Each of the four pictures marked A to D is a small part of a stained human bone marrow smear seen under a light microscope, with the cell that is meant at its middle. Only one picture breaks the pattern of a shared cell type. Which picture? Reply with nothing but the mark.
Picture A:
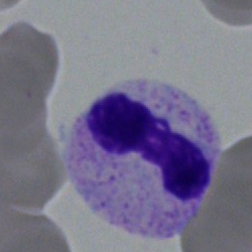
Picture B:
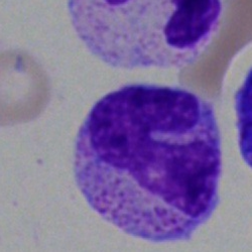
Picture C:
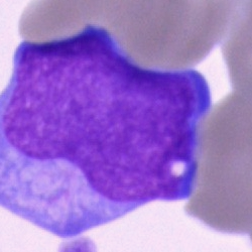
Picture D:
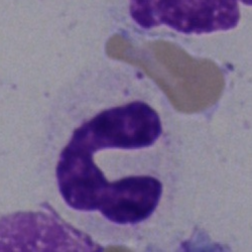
C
